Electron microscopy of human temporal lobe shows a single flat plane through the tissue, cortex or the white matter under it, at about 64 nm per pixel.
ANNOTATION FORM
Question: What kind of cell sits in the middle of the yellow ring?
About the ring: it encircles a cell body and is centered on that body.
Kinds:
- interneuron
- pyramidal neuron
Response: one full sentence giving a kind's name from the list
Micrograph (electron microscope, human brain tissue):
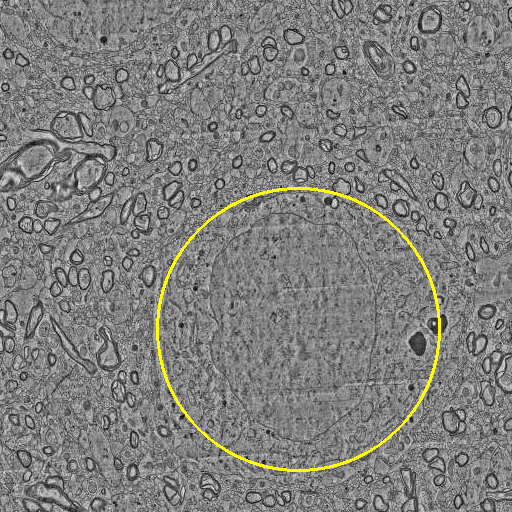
The kind of cell found at the center of the yellow ring in the micrograph is a pyramidal neuron.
